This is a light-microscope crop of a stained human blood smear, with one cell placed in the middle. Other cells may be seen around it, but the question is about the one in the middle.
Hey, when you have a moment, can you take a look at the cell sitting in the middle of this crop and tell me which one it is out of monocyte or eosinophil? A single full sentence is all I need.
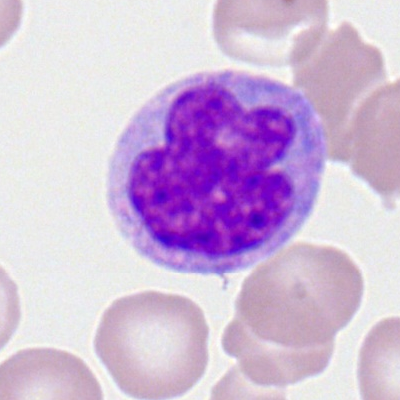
For this crop, the cell in the middle is a monocyte.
